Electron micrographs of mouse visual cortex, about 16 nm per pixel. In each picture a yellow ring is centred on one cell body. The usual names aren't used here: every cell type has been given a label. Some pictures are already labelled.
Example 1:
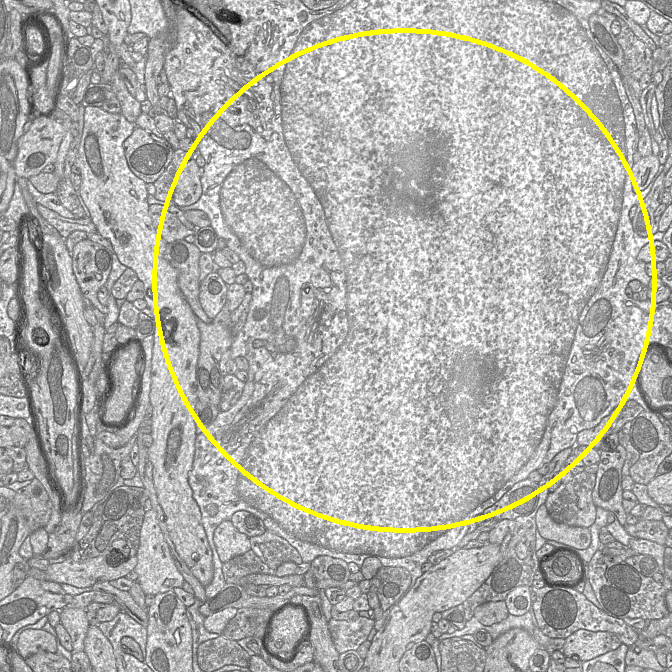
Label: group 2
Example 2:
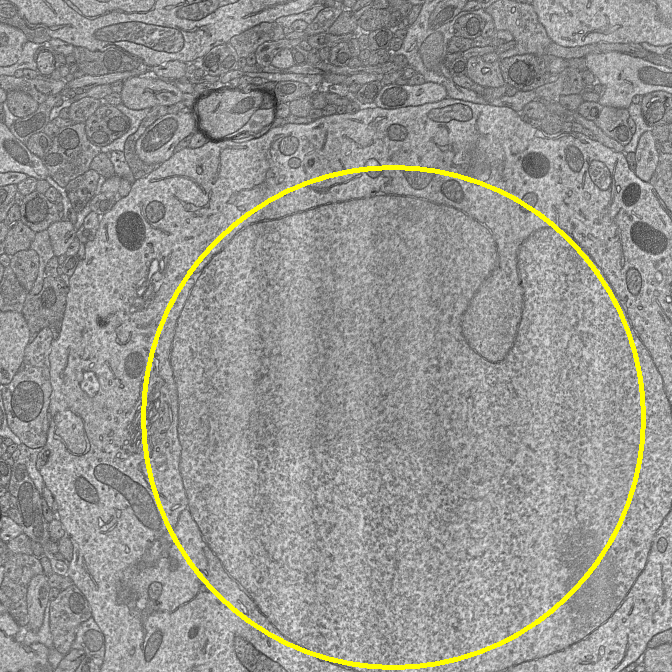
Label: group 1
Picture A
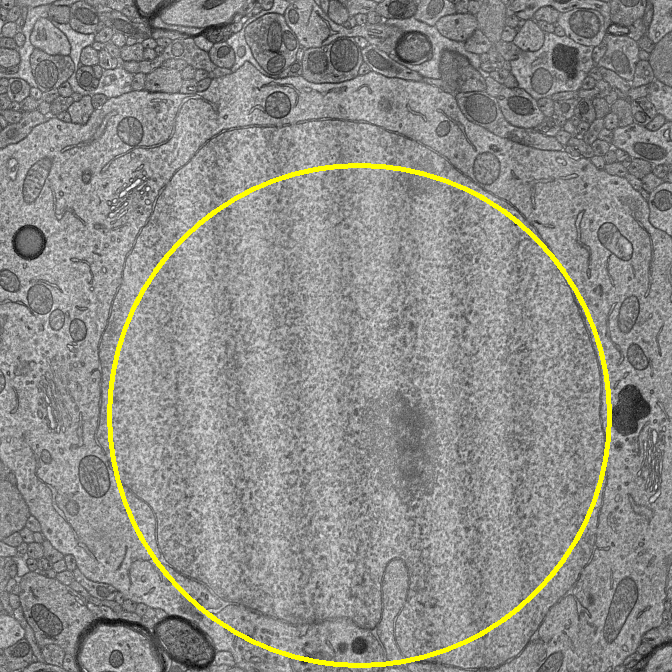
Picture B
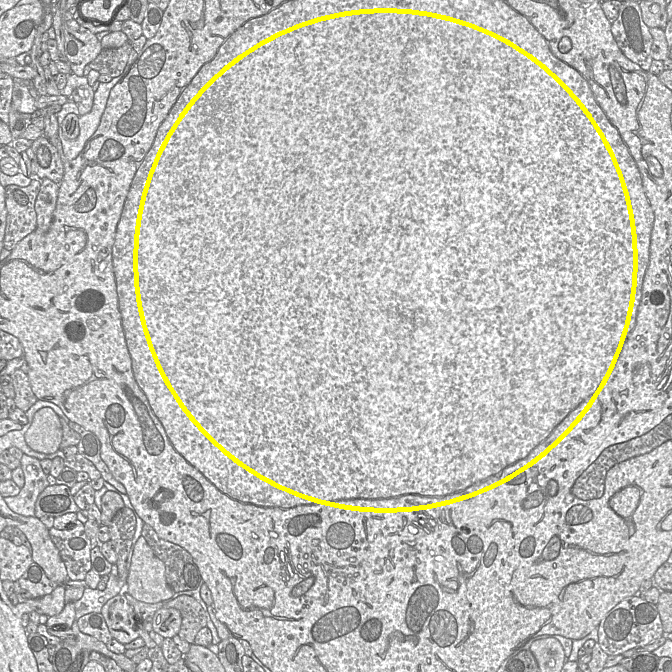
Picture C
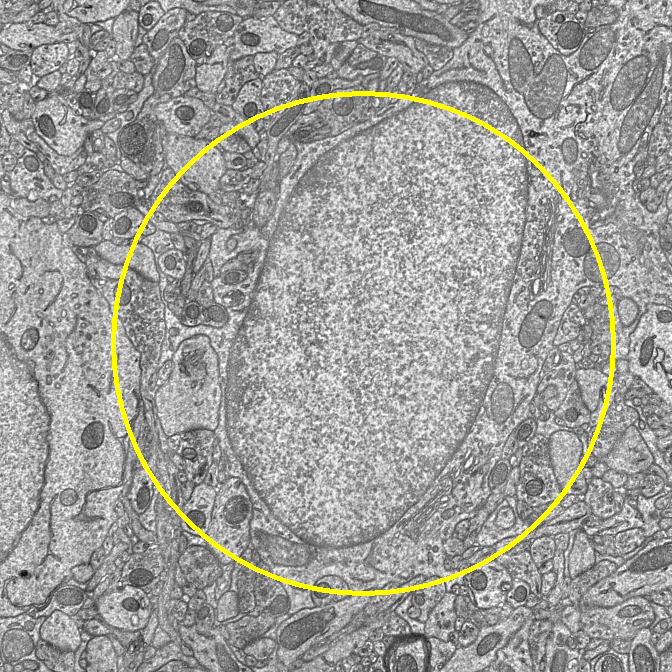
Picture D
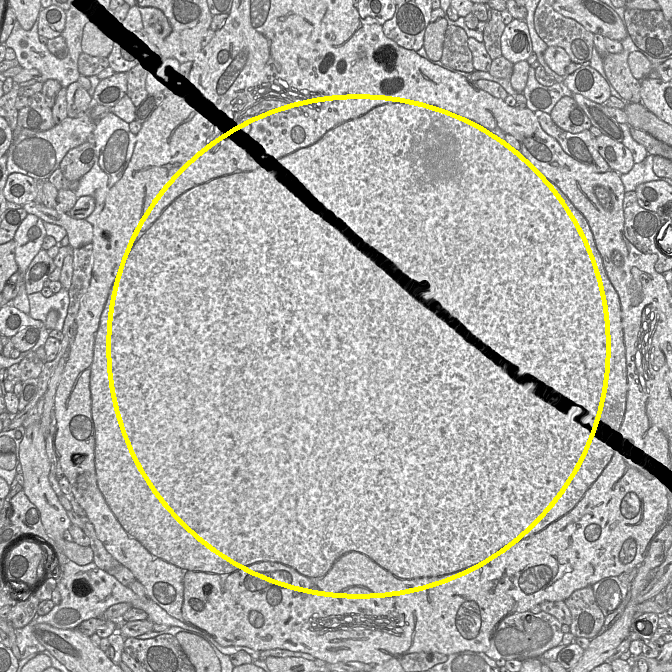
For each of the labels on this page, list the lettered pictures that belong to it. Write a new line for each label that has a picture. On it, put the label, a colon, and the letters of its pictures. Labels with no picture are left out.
group 2: C
group 1: A, B, D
